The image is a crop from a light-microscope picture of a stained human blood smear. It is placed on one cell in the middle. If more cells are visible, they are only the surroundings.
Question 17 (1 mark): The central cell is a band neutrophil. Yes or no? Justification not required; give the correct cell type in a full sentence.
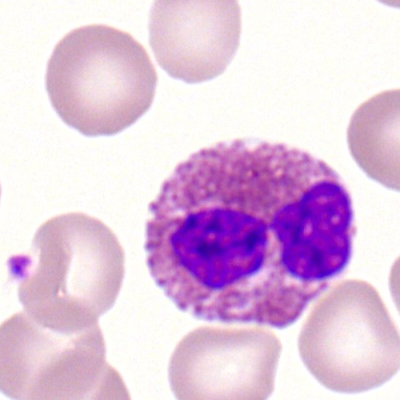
No, the cell in the centre is an eosinophil instead of a band neutrophil.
